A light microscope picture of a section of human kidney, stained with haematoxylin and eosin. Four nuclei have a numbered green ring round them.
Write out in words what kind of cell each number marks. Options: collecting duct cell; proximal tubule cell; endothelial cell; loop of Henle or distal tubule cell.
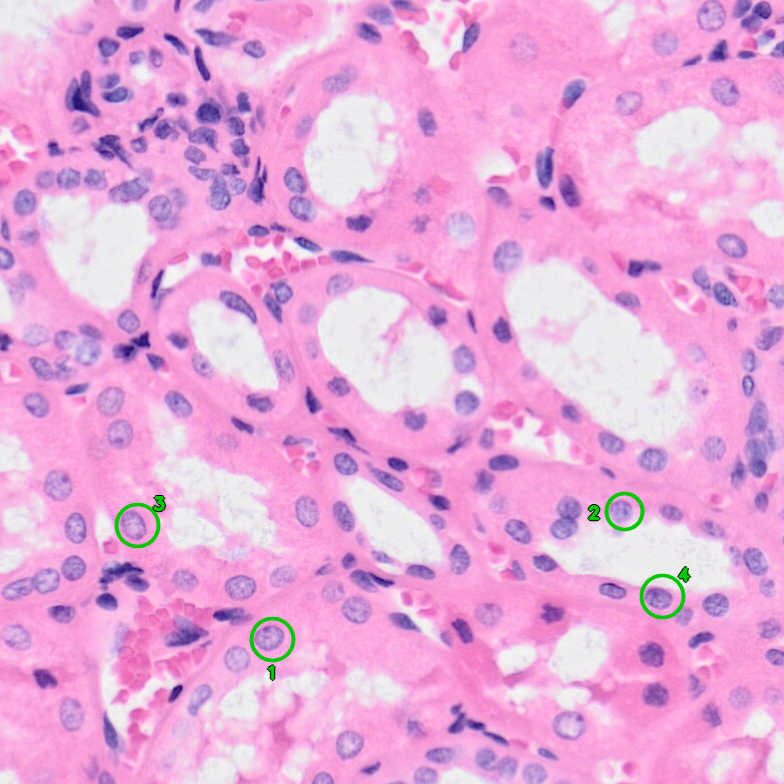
Cell 1 is a proximal tubule cell, cell 2 is a loop of Henle or distal tubule cell, cell 3 is a proximal tubule cell and cell 4 is a loop of Henle or distal tubule cell.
